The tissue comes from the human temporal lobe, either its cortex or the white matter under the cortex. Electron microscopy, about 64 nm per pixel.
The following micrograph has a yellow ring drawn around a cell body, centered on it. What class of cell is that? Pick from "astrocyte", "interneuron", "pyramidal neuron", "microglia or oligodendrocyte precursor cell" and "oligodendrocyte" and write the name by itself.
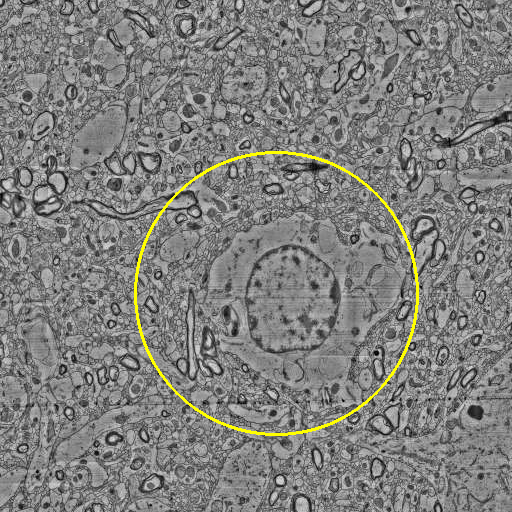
astrocyte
